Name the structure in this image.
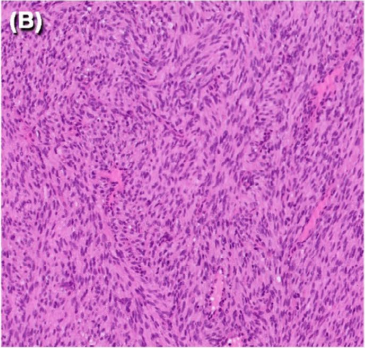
Vaguely fascicular pattern.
